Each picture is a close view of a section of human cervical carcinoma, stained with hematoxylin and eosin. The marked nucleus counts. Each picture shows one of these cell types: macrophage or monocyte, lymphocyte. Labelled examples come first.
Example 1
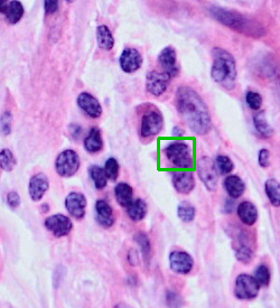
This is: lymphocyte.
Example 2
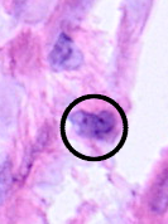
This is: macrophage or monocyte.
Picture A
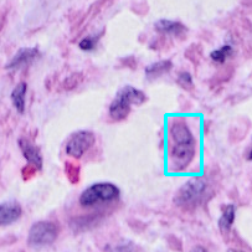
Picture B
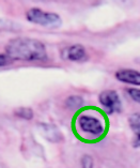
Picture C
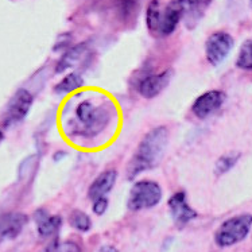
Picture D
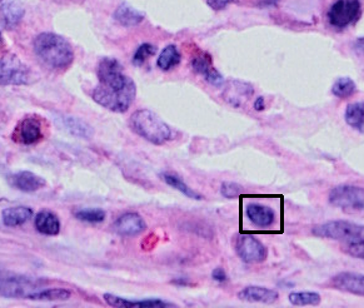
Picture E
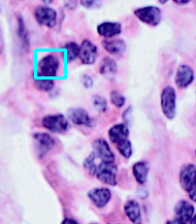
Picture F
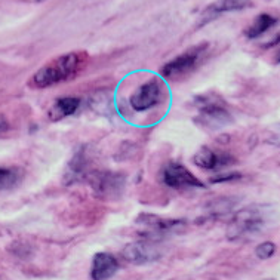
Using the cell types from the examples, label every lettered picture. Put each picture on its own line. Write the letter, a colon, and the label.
A: macrophage or monocyte.
B: lymphocyte.
C: macrophage or monocyte.
D: lymphocyte.
E: lymphocyte.
F: lymphocyte.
